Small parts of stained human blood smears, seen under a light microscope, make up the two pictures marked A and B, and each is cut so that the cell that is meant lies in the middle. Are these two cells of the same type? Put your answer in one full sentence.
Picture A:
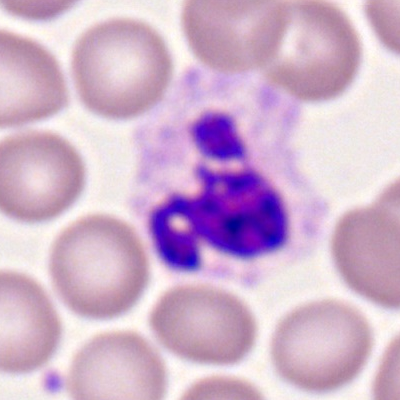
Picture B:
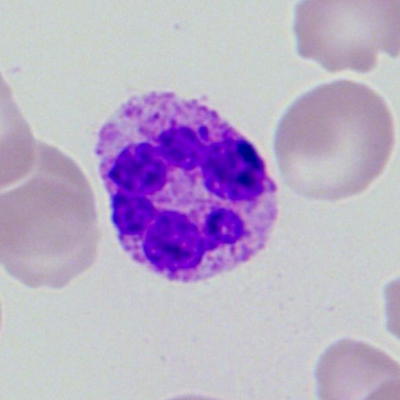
No, picture A shows a segmented neutrophil and picture B shows a basophil.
